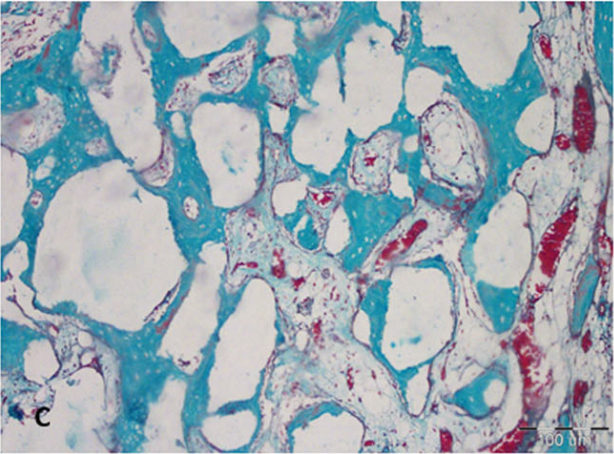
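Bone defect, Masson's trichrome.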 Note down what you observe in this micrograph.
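The marrow spaces hold loose, delicate connective tissue. Scattered red-stained vessels with packed red blood cells lie in the marrow between the trabeculae.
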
